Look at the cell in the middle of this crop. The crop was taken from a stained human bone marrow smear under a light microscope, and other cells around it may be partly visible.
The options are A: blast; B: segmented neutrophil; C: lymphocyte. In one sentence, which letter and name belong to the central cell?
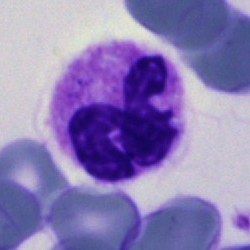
The cell centred in the crop is a segmented neutrophil, and the correct option is thus B.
